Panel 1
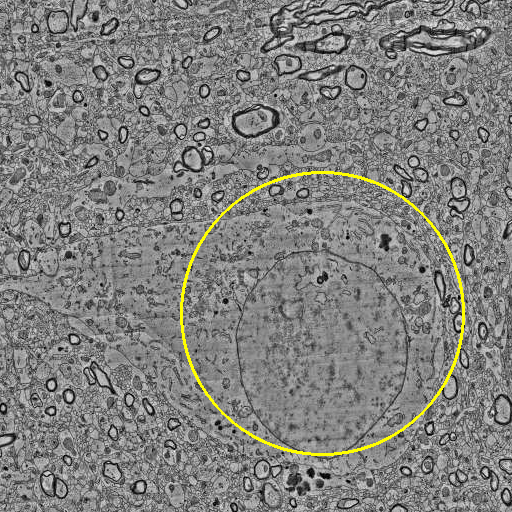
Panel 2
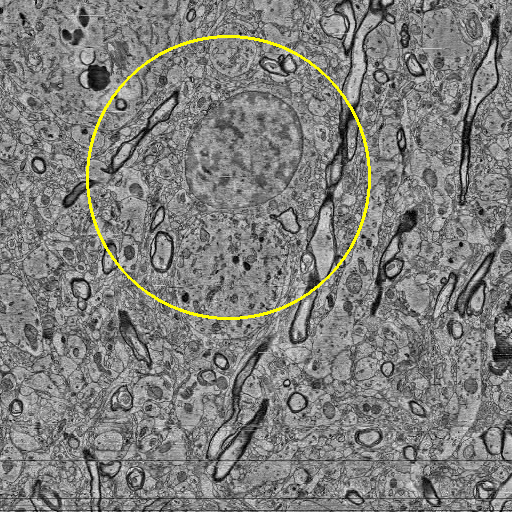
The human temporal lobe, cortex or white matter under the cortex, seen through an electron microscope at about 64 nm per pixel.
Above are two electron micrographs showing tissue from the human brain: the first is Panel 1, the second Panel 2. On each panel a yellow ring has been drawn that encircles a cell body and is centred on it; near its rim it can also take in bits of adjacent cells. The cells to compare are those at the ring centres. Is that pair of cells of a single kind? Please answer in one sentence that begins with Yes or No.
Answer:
No, the ring-centred cells of Panel 1 and Panel 2 belong to two kinds.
